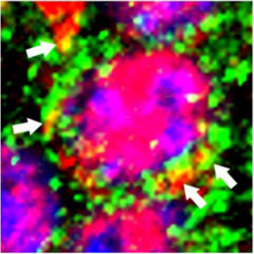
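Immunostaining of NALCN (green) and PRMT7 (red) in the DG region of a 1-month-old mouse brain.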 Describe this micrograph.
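One round cell fills the centre at high magnification. Its nucleus glows red and blue, and a dense rim of green puncta surrounds it at the cell's edge. White arrows point to yellow spots where the green and red overlap. This is a single cell body from the dentate gyrus cell layer.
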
